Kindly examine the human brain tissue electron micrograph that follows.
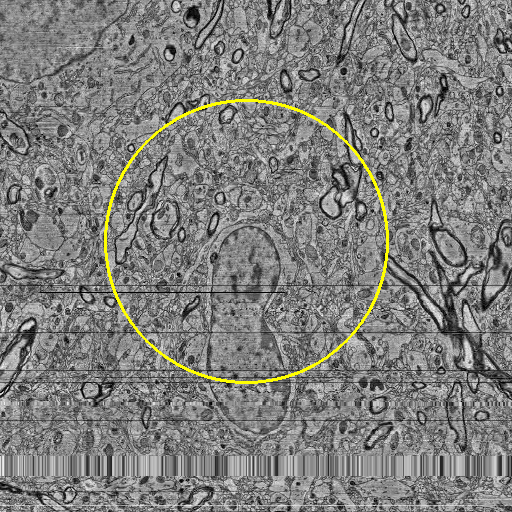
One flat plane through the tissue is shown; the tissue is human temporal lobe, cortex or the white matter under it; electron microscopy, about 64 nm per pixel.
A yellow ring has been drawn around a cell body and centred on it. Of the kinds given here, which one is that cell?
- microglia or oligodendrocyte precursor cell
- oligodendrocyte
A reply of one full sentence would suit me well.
The micrograph's ringed cell, the one at the ring's centre, is a microglial cell or oligodendrocyte precursor cell.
